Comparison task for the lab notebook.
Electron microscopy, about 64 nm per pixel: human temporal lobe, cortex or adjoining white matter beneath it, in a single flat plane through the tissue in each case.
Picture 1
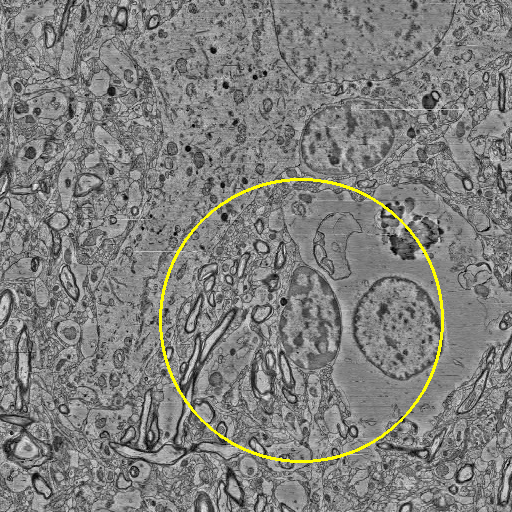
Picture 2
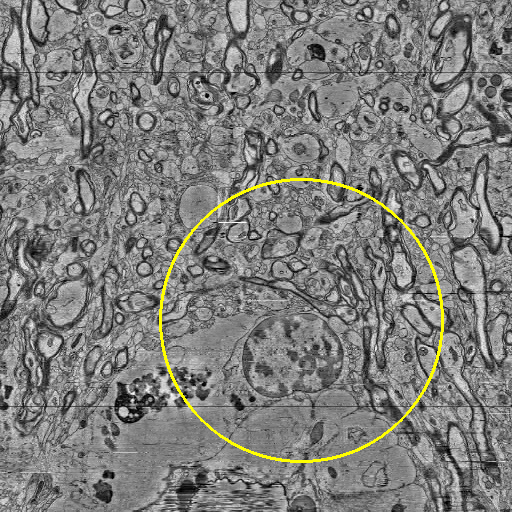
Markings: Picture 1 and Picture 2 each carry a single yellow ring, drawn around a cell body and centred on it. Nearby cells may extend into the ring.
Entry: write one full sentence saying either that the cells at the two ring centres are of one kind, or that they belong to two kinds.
The cells sitting at the ring centres in Picture 1 and Picture 2 are of one kind.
